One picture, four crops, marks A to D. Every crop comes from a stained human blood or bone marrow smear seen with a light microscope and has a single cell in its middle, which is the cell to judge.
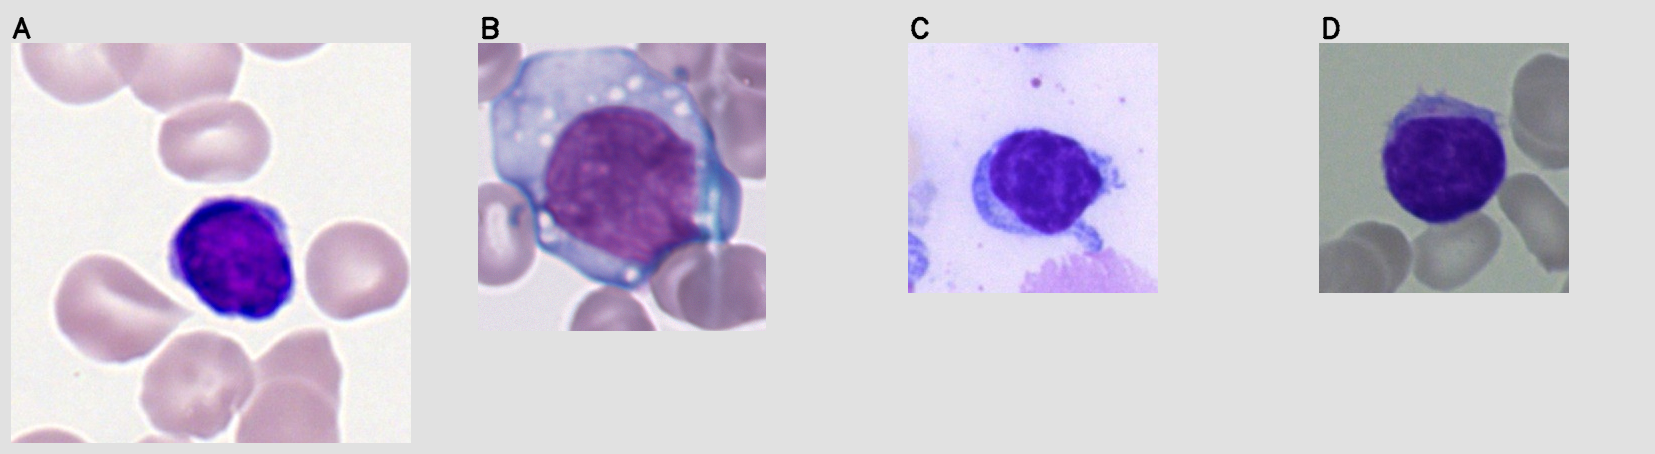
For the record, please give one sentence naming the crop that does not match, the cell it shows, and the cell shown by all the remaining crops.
Crop B stands apart from the rest as a blast, the others all being lymphocytes.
